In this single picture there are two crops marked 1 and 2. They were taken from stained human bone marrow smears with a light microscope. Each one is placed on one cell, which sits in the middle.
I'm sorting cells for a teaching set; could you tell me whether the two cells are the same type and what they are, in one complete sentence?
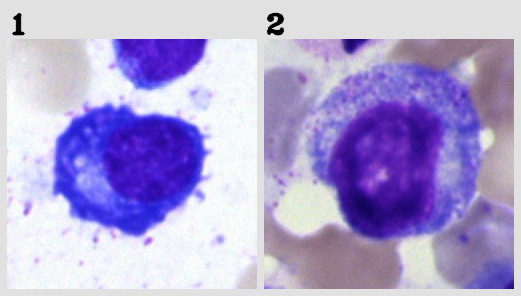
No, cell 1 is a plasma cell, and cell 2 is a promyelocyte.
